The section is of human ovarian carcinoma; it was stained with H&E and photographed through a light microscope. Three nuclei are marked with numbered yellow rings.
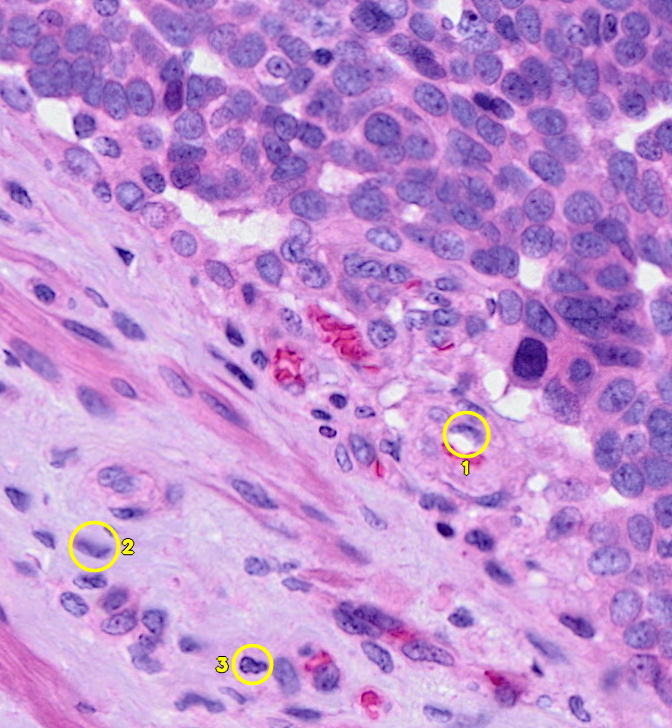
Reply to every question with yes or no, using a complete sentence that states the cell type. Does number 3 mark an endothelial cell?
No, at number 3 sits a lymphocyte, not an endothelial cell.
